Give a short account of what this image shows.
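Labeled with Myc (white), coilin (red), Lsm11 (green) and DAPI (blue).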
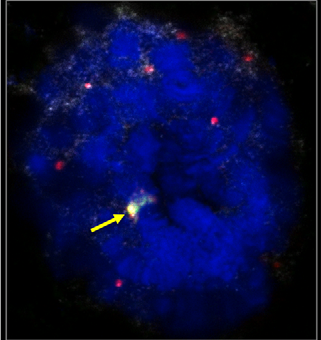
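A single large salivary gland nucleus fills the field. Scattered among the chromosomes are several small red dots, and a faint speckled white signal lies over parts of the nucleus. One larger body, indicated by the yellow arrow, is brighter than the others and shows red, green and white together, appearing pale yellow-white where they overlap. The other red dots are small and show no such overlap.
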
